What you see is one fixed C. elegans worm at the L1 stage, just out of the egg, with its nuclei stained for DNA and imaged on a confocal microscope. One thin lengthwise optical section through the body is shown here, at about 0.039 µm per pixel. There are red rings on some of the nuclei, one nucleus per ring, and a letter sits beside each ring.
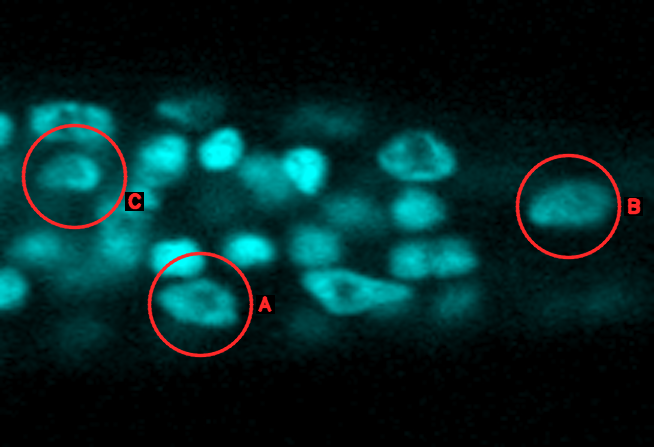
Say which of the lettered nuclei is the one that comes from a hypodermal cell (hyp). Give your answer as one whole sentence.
It is B that belongs to a hypodermal cell (hyp).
